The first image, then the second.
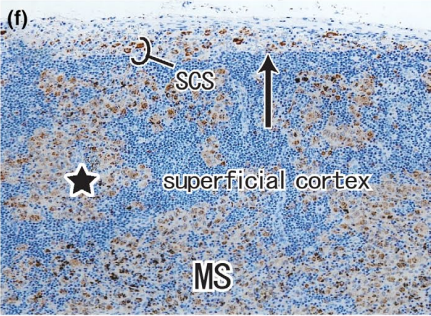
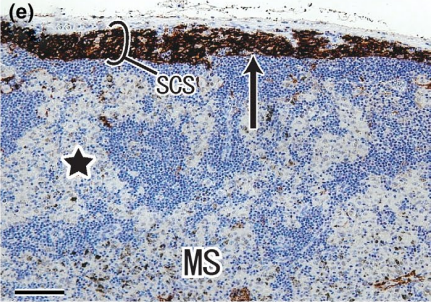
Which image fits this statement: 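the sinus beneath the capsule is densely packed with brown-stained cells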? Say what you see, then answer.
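The second image. Second image: a continuous dark brown band of stained cells fills the layer just under the surface.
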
